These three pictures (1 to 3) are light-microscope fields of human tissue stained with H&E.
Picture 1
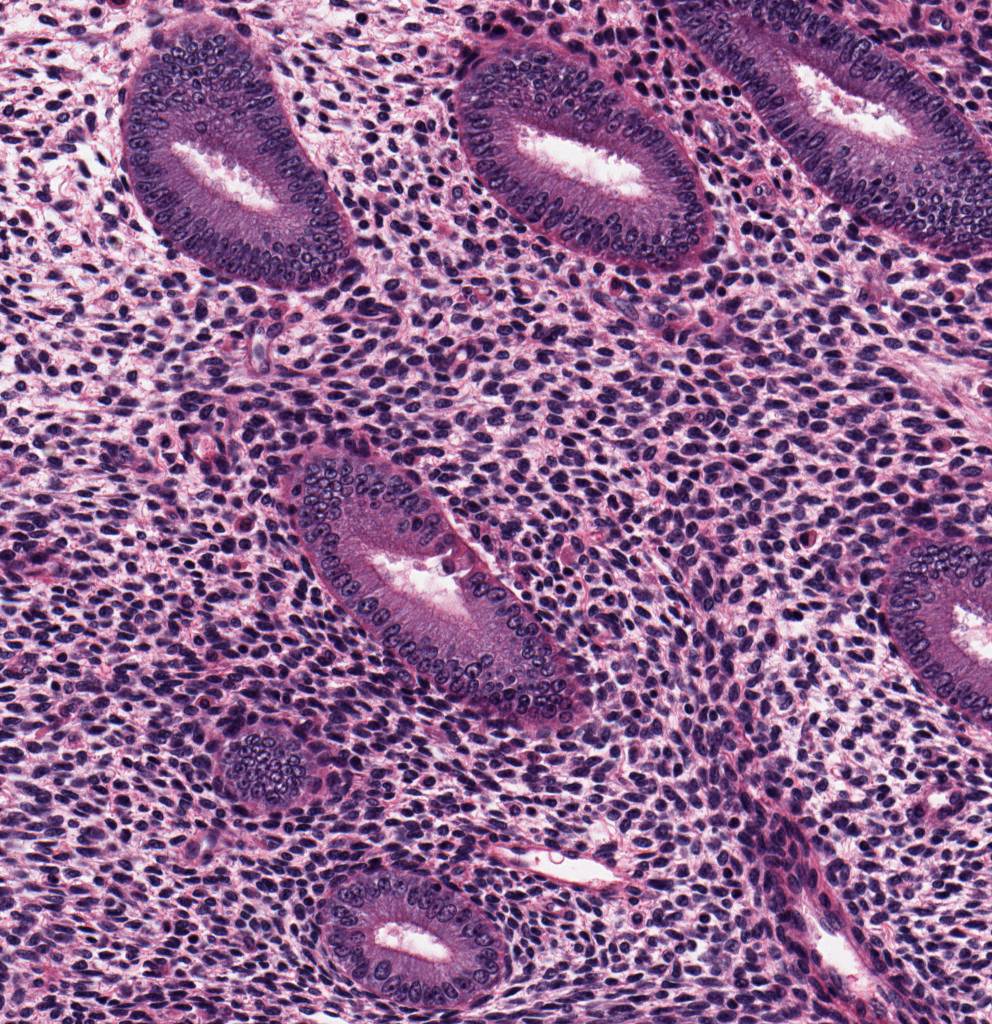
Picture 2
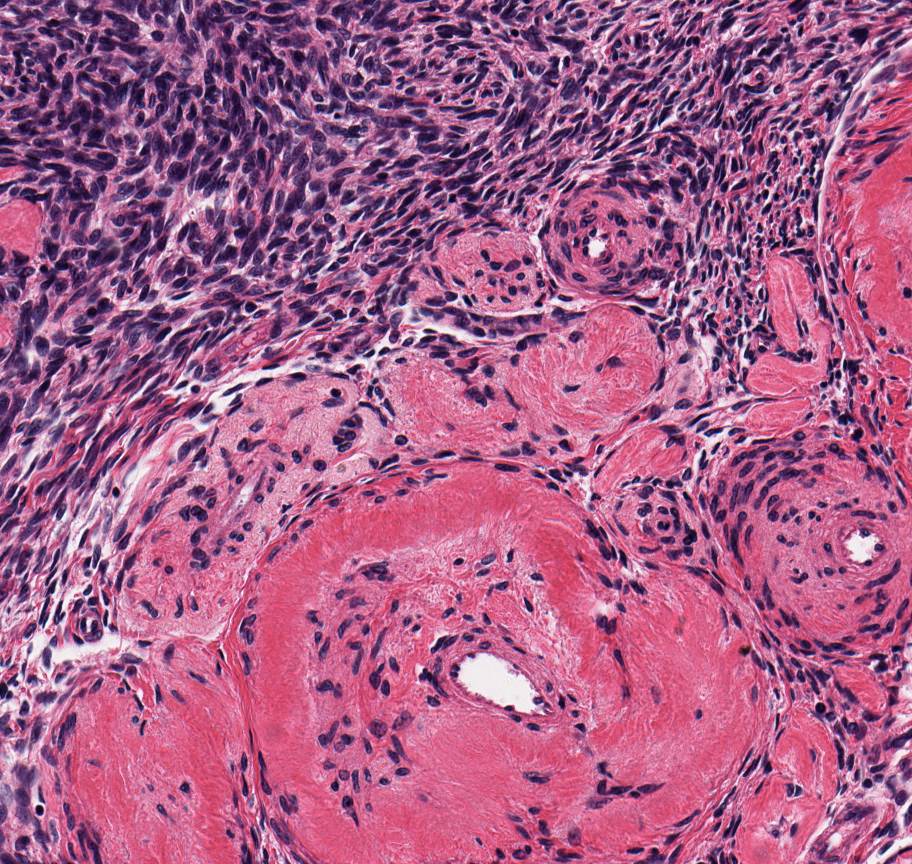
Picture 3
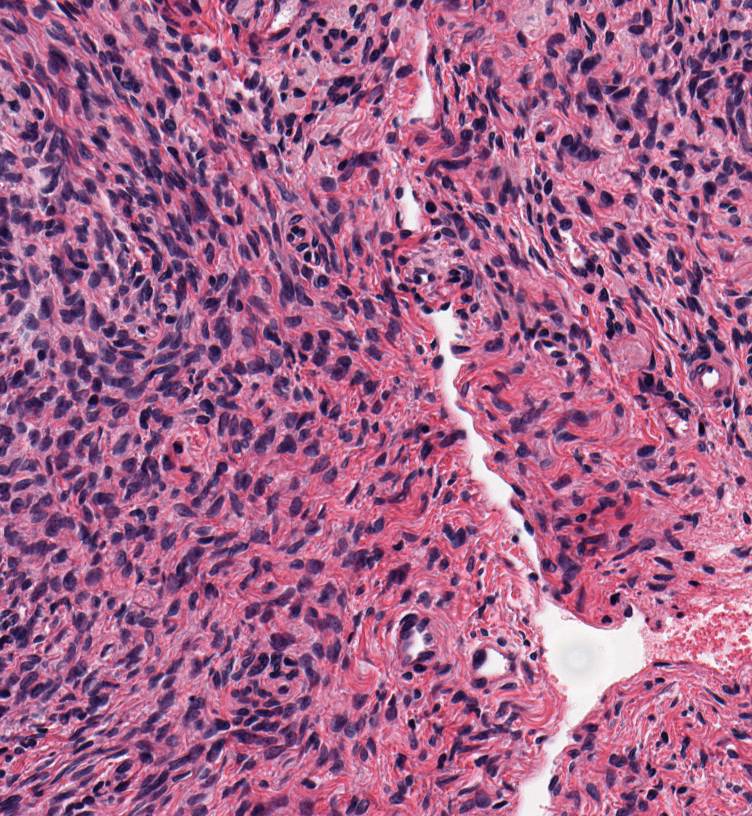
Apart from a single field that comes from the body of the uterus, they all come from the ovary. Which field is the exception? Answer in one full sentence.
It is picture 1 that comes from the body of the uterus.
